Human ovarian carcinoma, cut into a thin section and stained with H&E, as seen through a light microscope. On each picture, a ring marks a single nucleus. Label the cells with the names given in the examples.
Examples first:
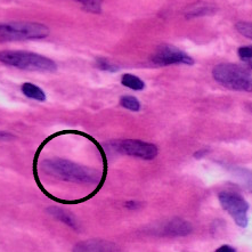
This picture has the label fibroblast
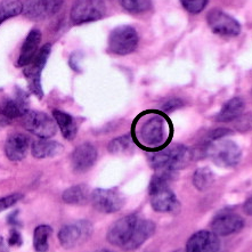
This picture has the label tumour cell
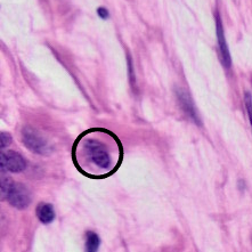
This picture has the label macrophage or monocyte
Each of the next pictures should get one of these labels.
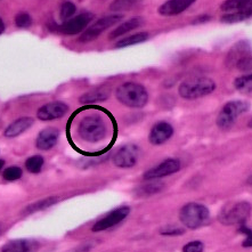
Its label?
macrophage or monocyte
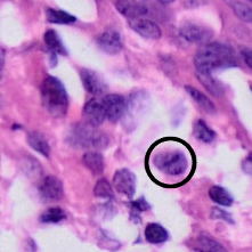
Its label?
macrophage or monocyte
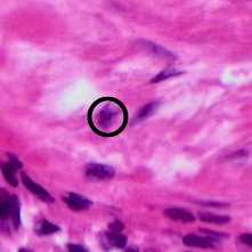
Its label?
fibroblast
